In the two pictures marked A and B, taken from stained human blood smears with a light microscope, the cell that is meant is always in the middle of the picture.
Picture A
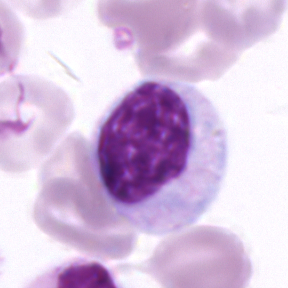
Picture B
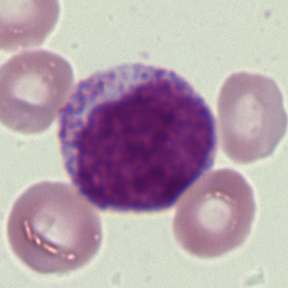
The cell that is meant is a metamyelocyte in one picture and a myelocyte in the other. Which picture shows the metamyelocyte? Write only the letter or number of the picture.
A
